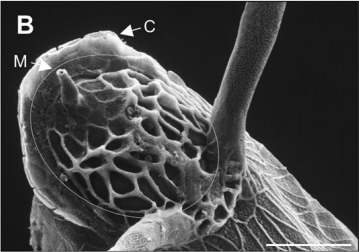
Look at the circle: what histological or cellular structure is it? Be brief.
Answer: Operculum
